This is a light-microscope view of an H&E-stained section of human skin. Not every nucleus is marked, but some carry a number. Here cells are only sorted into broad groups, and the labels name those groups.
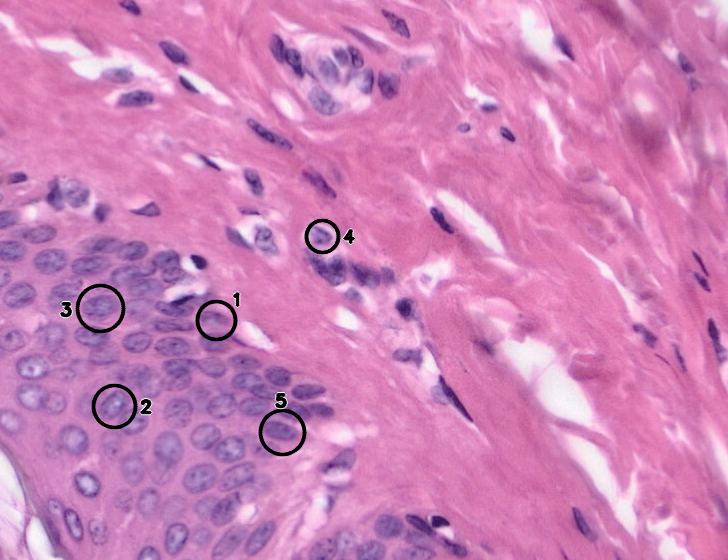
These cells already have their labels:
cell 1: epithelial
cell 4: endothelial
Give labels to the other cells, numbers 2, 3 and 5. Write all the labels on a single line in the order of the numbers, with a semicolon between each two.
epithelial; epithelial; epithelial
